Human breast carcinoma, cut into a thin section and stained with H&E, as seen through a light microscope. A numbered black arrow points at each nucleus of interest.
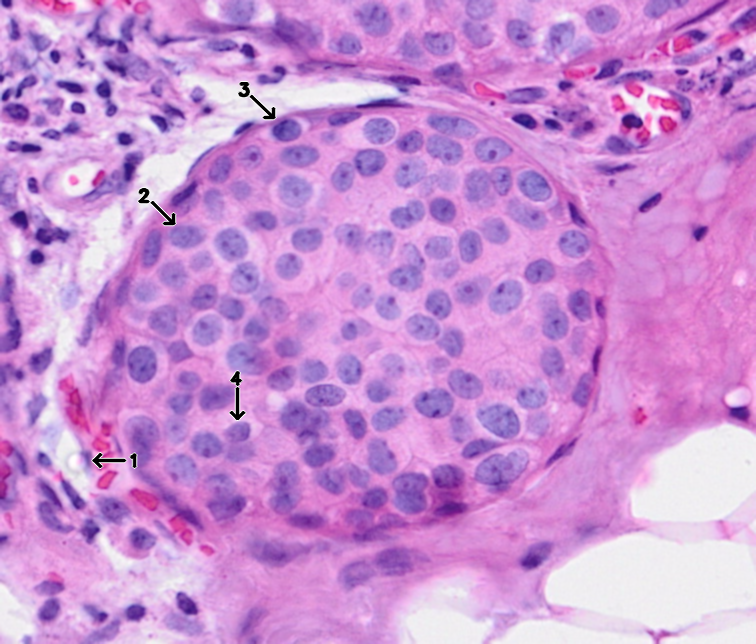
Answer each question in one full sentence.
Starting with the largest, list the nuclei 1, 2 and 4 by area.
Largest first, the order by area is 2, 4, 1.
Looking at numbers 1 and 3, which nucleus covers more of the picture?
Number 3 is larger; its area is about 3 times that of number 1.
